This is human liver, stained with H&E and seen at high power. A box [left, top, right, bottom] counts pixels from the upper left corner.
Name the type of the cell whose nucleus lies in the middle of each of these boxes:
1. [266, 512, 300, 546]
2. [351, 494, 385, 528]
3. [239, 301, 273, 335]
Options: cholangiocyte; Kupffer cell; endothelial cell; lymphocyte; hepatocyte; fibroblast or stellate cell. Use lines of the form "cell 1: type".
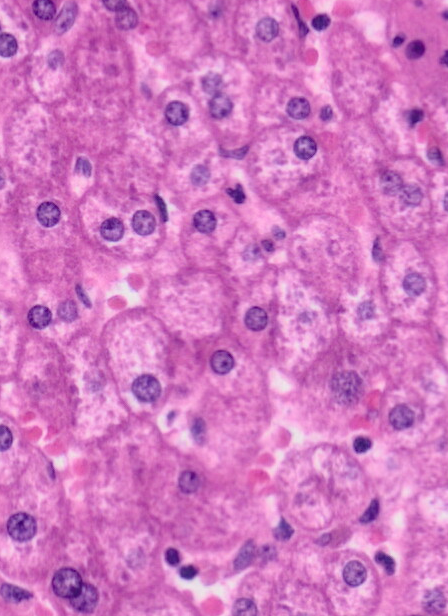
cell 1: endothelial cell
cell 2: fibroblast or stellate cell
cell 3: hepatocyte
